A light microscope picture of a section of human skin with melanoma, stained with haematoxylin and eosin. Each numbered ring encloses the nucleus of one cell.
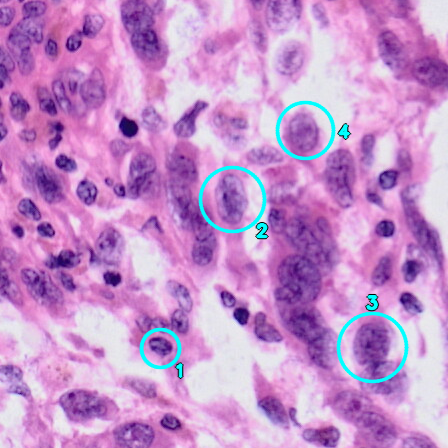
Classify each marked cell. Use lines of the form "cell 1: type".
cell 1: lymphocyte
cell 2: melanoma cell
cell 3: melanoma cell
cell 4: melanoma cell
